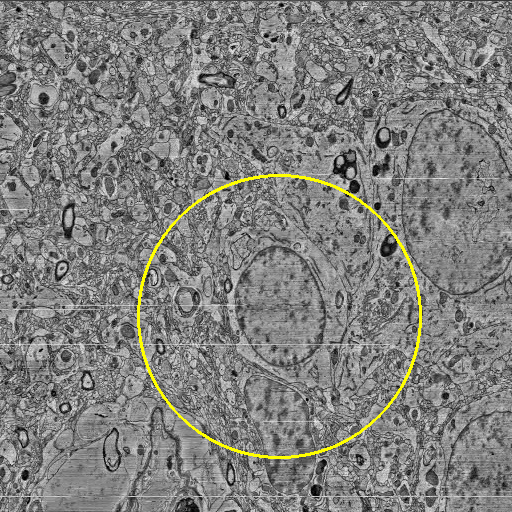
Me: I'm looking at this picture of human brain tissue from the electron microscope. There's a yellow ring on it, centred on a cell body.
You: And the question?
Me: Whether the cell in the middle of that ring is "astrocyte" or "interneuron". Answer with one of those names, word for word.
astrocyte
